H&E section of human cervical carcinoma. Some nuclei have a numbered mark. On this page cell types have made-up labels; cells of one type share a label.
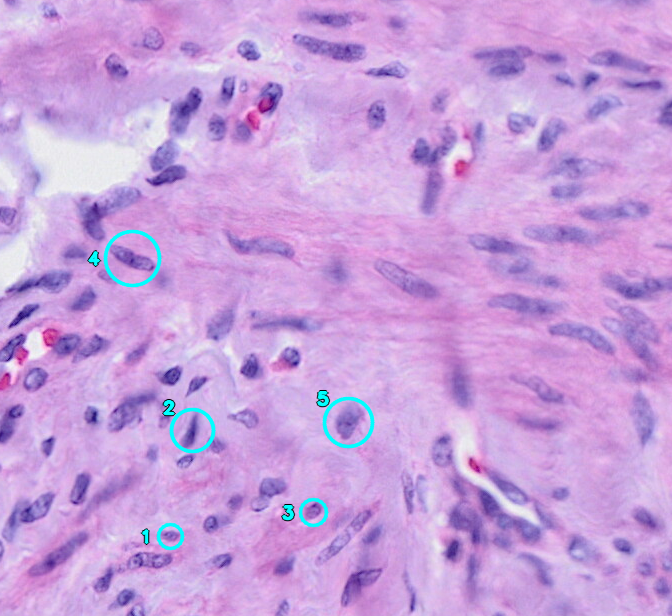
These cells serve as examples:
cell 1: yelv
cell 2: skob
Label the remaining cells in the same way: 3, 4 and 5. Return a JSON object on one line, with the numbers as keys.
{"3": "yelv", "4": "skob", "5": "skob"}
